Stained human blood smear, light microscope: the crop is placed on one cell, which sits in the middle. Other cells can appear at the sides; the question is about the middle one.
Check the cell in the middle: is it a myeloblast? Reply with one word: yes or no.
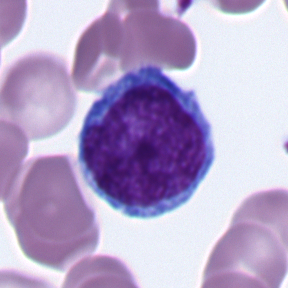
no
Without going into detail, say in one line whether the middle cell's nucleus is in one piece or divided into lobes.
The nucleus is one compact mass, round, oval or kidney-shaped in outline.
